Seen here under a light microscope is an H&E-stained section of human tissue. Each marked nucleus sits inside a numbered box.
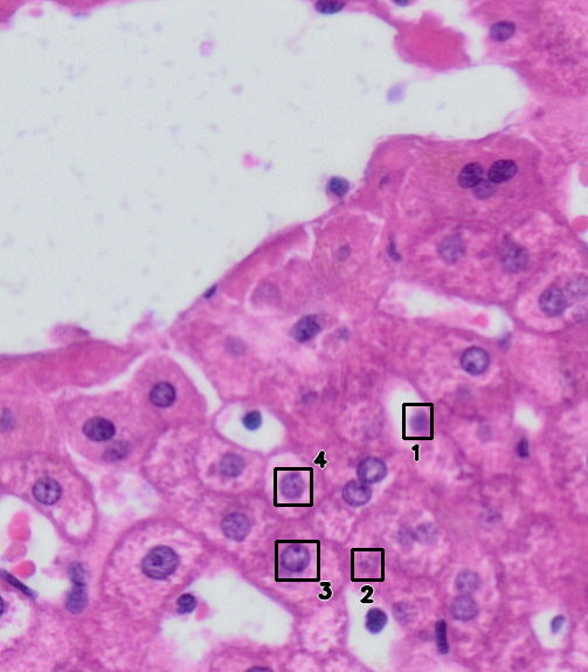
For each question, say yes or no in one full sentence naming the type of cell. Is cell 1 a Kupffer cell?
Yes, number 1 is assigned to a cell that is a Kupffer cell.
